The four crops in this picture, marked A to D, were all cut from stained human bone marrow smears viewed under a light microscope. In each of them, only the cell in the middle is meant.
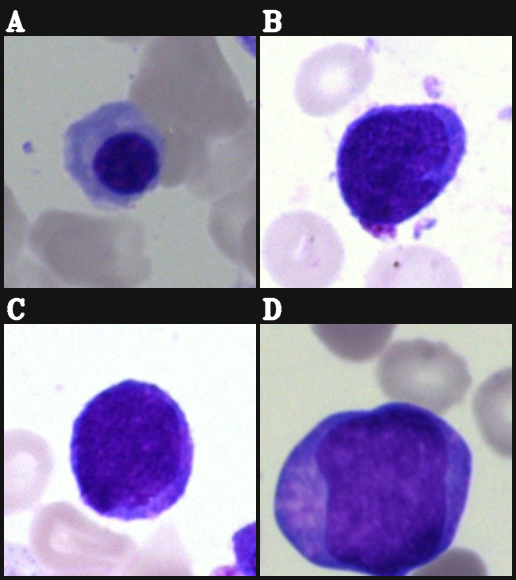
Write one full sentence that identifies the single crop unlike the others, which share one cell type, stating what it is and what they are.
What sets crop A apart is that it shows an erythroblast, while the others show blasts.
